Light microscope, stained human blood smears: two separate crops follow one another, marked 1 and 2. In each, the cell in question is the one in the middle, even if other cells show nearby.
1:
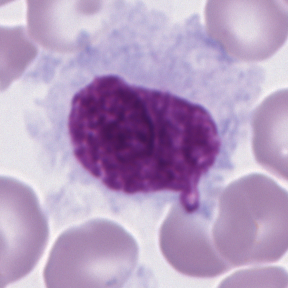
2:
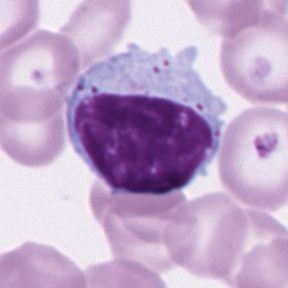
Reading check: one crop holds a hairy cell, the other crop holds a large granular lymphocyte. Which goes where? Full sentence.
Crop 1 is a hairy cell, while a large granular lymphocyte is the cell in crop 2.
